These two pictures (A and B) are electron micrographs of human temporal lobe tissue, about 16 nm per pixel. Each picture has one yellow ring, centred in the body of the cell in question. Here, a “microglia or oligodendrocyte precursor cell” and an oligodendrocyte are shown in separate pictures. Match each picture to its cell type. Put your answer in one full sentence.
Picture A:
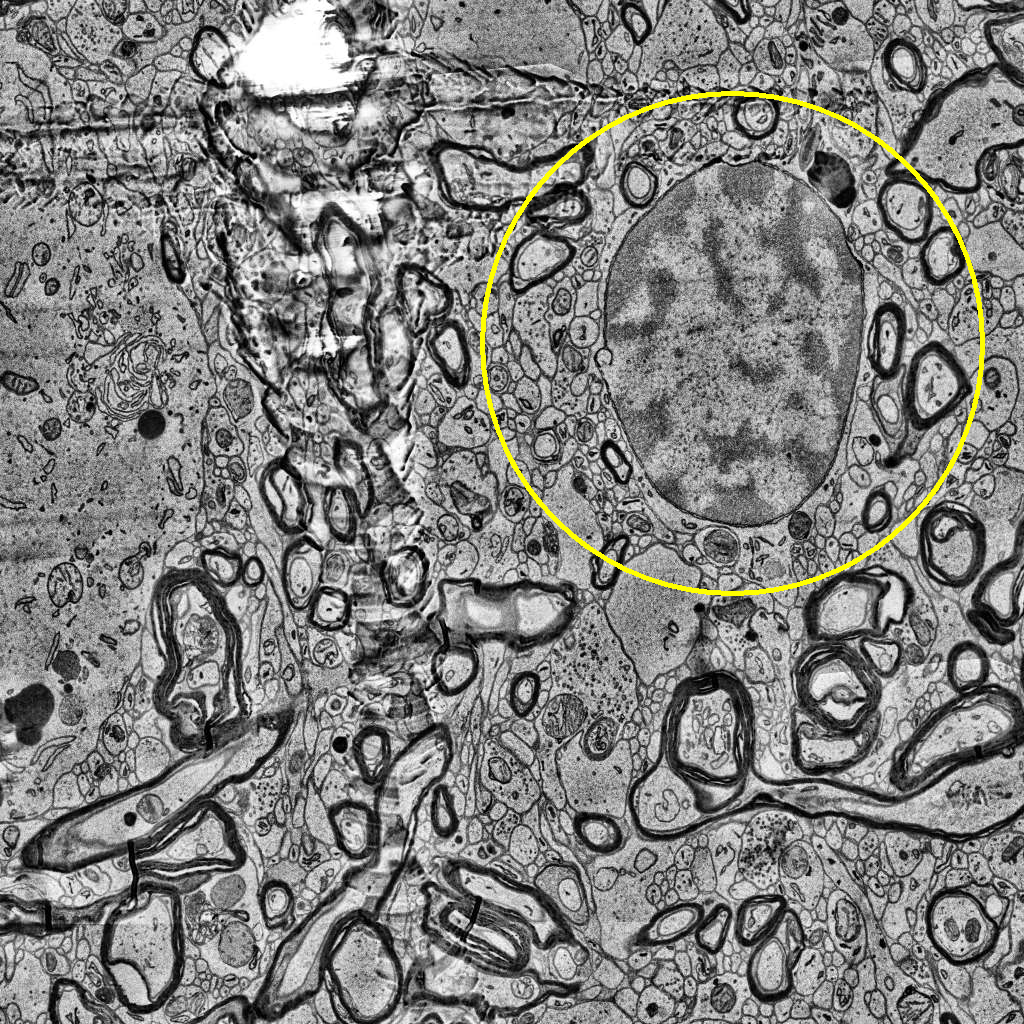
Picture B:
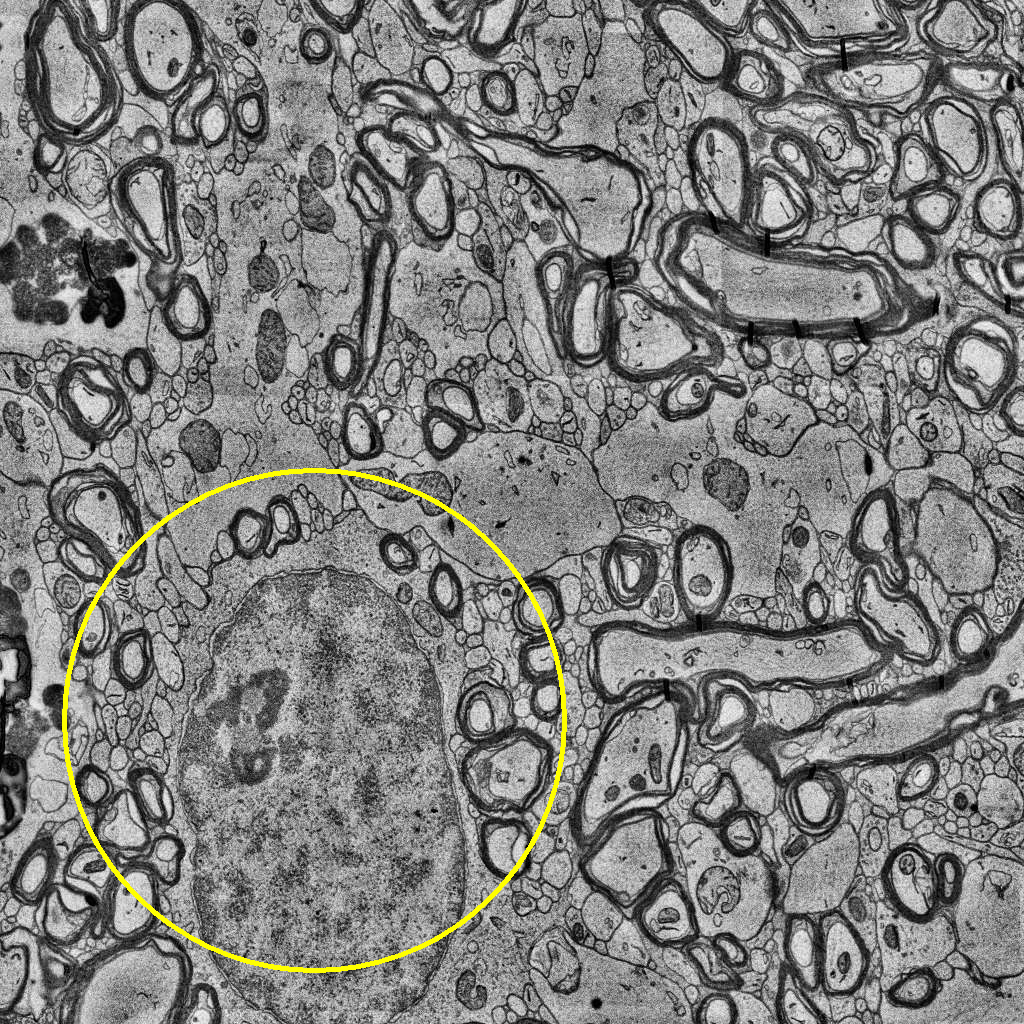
The cell in picture A is a “microglia or oligodendrocyte precursor cell”, and the one in picture B is an oligodendrocyte.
